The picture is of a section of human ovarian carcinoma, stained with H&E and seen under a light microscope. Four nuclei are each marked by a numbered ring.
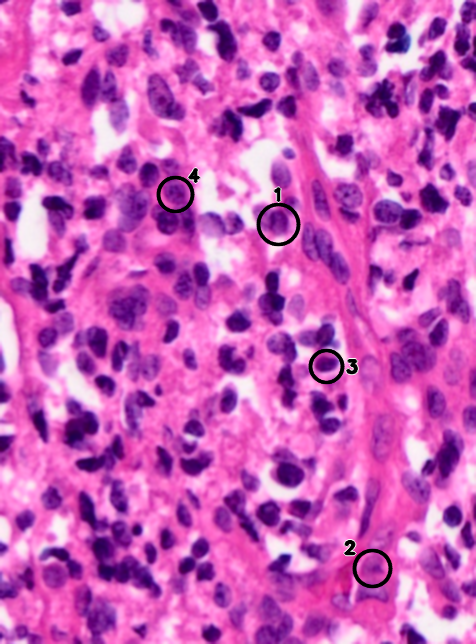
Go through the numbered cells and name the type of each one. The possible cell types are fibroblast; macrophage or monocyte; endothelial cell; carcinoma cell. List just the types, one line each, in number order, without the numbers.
carcinoma cell
endothelial cell
carcinoma cell
carcinoma cell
